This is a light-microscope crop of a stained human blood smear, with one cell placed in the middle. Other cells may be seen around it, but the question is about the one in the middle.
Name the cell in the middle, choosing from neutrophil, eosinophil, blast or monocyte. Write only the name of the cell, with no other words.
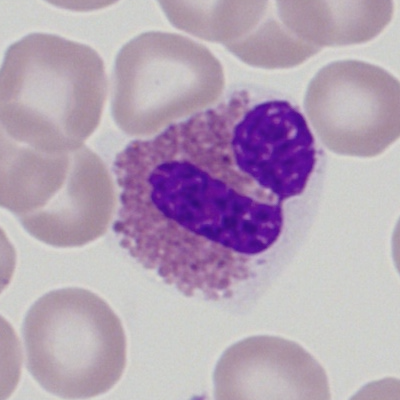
eosinophil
